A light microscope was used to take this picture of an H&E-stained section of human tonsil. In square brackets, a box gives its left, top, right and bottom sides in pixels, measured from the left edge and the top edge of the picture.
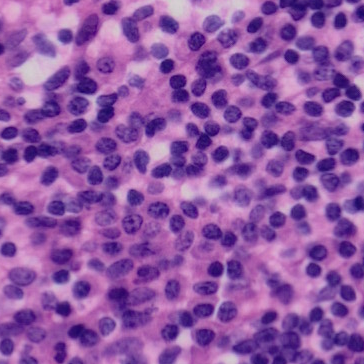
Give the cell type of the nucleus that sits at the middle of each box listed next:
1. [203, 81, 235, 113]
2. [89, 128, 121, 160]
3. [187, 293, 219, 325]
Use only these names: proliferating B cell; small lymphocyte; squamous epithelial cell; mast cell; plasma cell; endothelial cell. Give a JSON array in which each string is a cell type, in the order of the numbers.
["small lymphocyte", "plasma cell", "plasma cell"]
